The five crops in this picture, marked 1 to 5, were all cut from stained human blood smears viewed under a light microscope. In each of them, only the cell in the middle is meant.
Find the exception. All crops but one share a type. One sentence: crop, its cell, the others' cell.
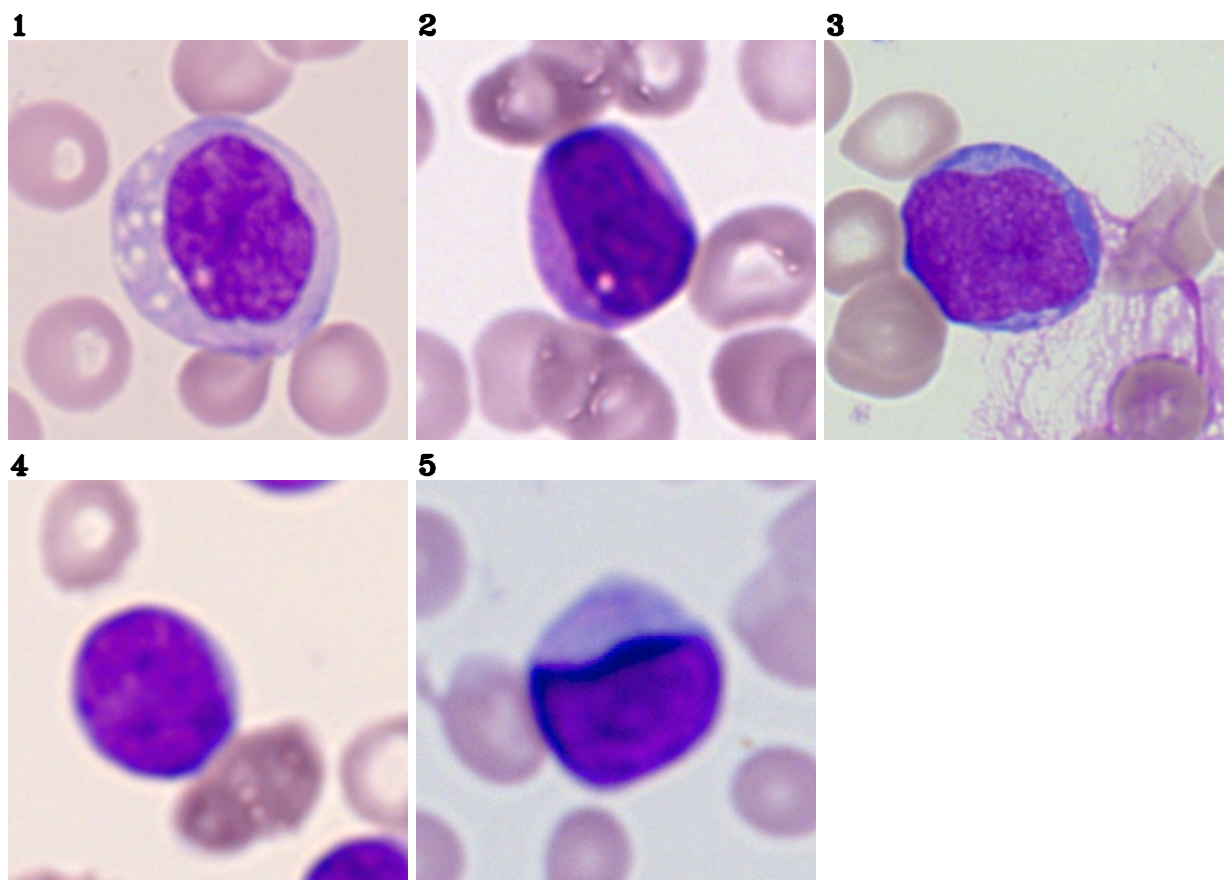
The single exception among the crops is crop 1, which is a monocyte; the rest show myeloblasts.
